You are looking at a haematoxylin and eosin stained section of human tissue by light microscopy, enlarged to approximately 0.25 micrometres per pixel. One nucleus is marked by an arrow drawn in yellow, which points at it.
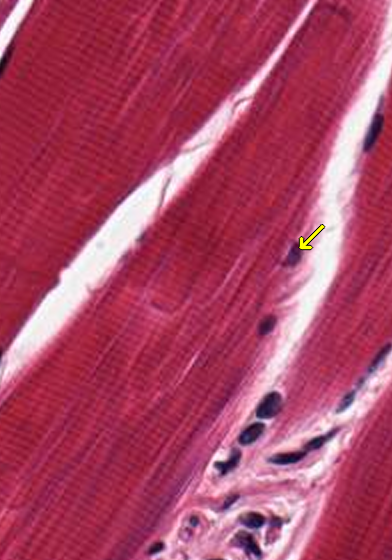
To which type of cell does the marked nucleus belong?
skeletal muscle fibre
